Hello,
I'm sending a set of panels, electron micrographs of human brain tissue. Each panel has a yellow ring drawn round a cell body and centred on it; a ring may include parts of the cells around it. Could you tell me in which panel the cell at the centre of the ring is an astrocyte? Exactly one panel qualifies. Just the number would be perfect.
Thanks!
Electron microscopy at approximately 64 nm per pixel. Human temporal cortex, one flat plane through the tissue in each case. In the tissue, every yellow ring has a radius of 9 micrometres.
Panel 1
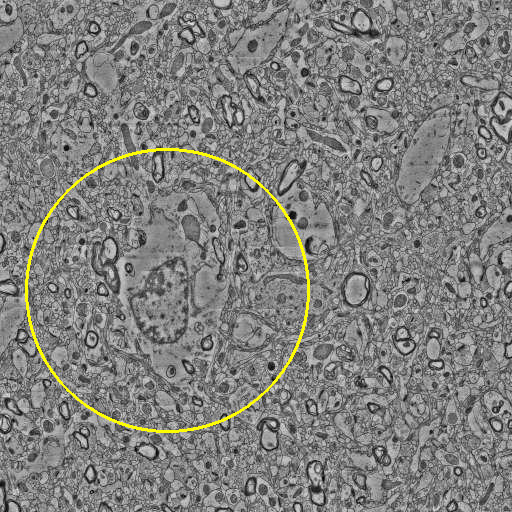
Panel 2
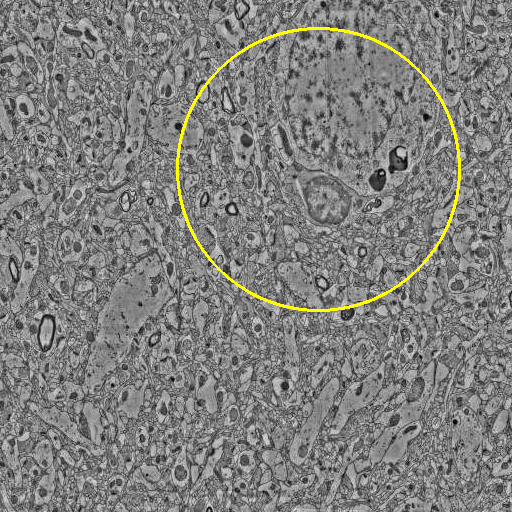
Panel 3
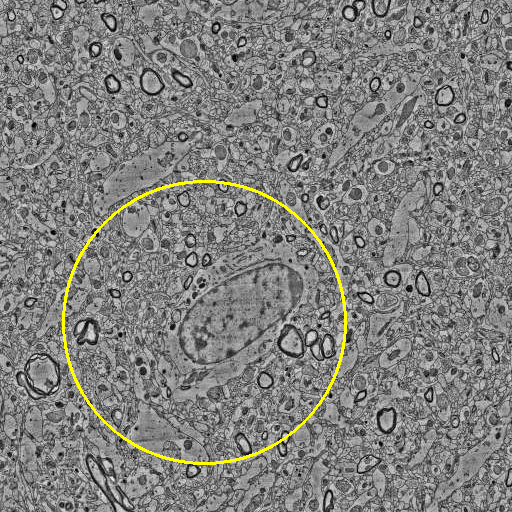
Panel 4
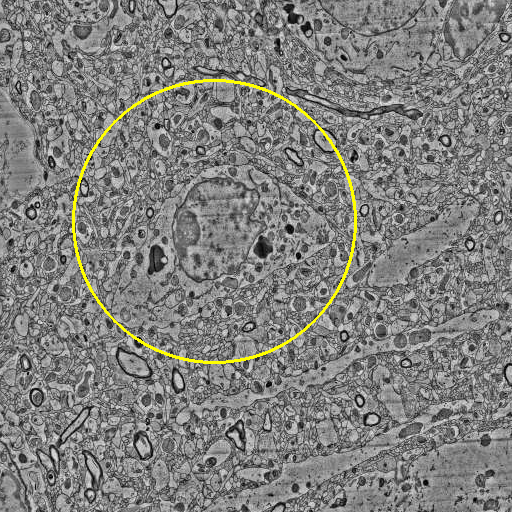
1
